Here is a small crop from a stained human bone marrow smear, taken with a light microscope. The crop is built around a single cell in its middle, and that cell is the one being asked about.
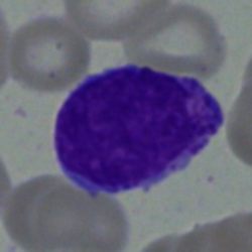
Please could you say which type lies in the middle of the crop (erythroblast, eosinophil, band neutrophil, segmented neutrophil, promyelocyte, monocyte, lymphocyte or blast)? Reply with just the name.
blast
